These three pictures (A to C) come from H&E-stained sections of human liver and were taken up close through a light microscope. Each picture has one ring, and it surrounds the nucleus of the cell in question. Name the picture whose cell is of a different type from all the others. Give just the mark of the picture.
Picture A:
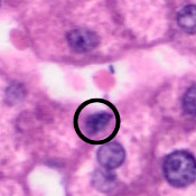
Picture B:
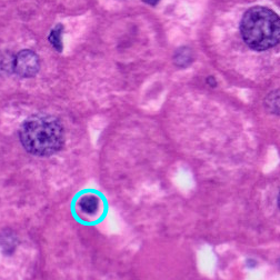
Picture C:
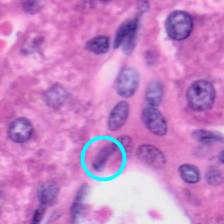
B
